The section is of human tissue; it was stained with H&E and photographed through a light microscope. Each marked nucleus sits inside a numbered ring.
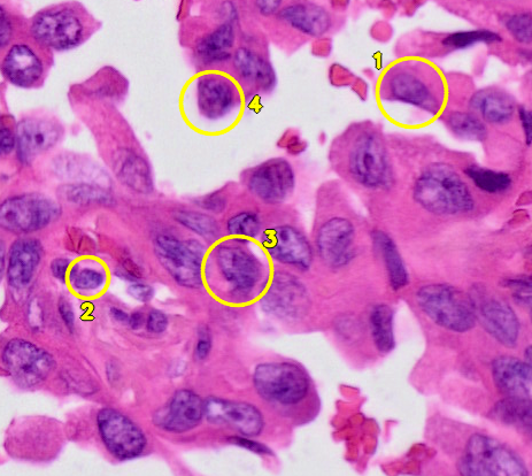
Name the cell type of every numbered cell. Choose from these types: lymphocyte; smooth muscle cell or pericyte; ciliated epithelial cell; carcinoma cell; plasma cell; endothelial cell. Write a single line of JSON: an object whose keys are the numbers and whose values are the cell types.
{"1": "carcinoma cell", "2": "lymphocyte", "3": "carcinoma cell", "4": "carcinoma cell"}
